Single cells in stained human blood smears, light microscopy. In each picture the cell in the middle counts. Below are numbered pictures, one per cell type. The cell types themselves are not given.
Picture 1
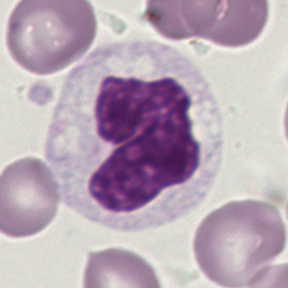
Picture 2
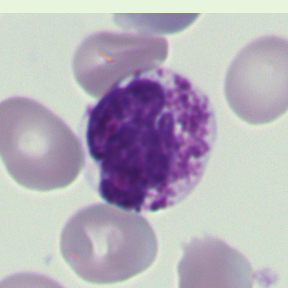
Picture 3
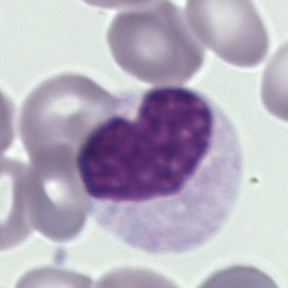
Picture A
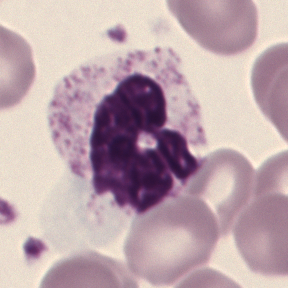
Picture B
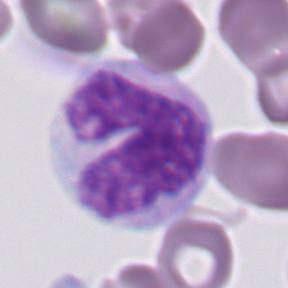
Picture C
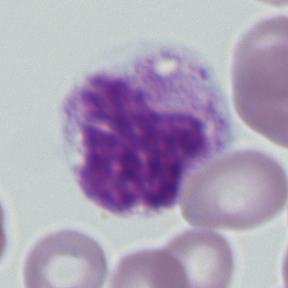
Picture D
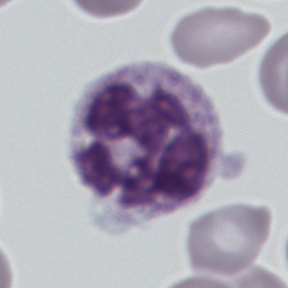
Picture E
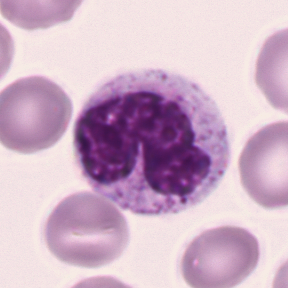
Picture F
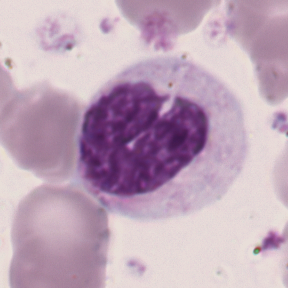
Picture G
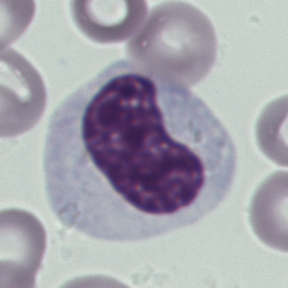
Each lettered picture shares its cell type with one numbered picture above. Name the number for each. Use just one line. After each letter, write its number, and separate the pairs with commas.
A 1, B 3, C 1, D 1, E 3, F 3, G 3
